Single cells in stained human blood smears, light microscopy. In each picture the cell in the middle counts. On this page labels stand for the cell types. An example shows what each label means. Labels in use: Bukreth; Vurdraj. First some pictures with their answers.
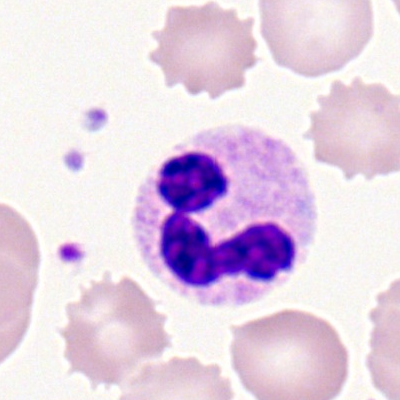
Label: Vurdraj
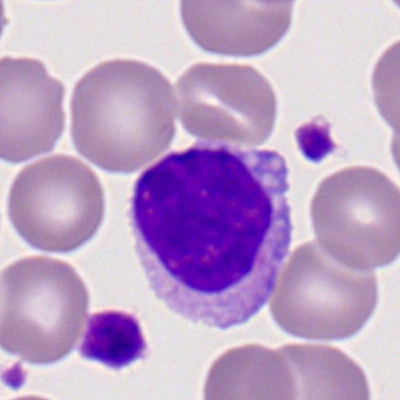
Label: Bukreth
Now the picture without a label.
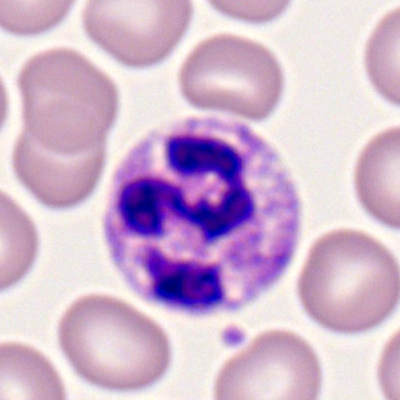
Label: Vurdraj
